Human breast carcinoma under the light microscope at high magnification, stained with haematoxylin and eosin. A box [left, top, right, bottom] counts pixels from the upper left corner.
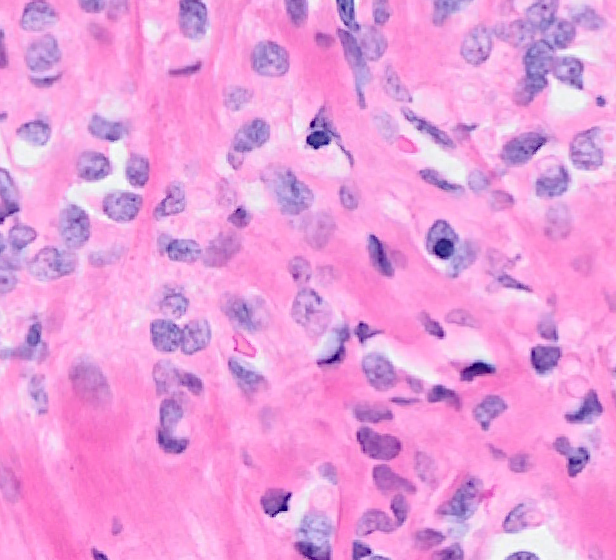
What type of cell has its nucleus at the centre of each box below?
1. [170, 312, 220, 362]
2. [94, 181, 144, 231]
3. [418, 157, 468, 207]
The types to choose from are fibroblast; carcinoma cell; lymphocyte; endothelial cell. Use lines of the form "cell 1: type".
cell 1: carcinoma cell
cell 2: carcinoma cell
cell 3: endothelial cell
